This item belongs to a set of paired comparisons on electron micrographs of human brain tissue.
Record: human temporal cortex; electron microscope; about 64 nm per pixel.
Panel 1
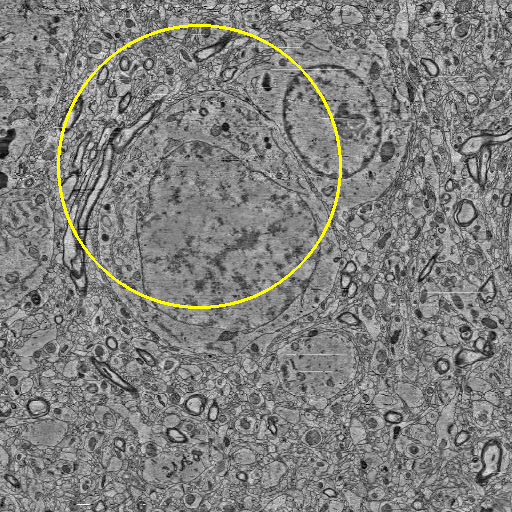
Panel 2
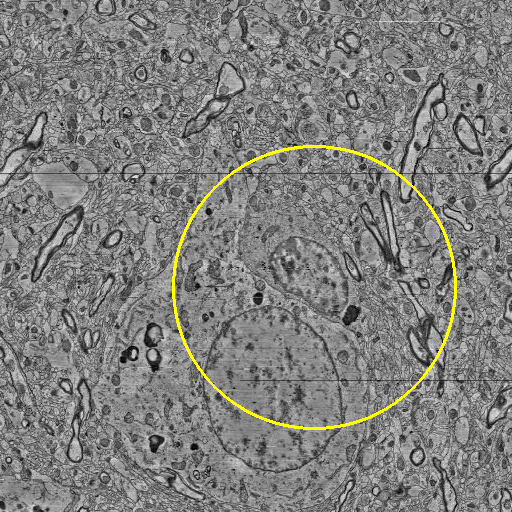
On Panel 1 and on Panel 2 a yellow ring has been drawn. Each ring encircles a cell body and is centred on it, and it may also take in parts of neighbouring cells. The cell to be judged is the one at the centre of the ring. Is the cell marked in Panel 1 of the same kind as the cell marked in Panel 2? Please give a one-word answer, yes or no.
no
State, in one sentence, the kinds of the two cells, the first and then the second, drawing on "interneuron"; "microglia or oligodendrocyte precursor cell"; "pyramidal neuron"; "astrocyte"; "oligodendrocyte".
The ring in the second picture is centred on an oligodendrocyte, the ring in the first on a pyramidal neuron.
